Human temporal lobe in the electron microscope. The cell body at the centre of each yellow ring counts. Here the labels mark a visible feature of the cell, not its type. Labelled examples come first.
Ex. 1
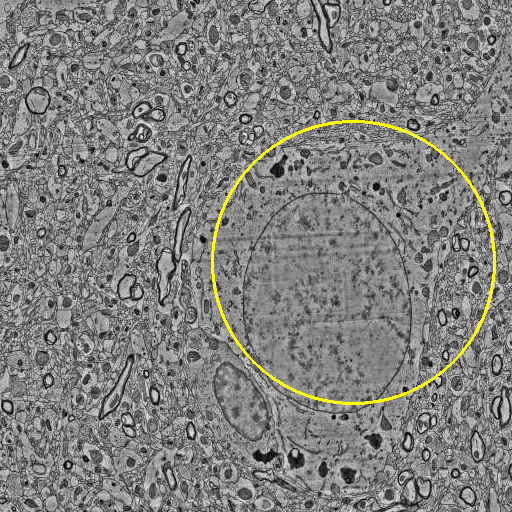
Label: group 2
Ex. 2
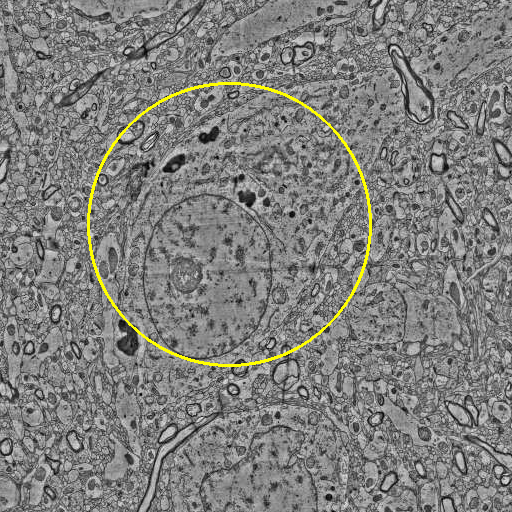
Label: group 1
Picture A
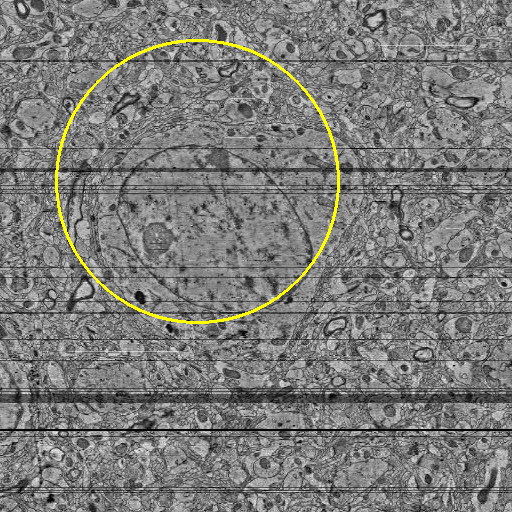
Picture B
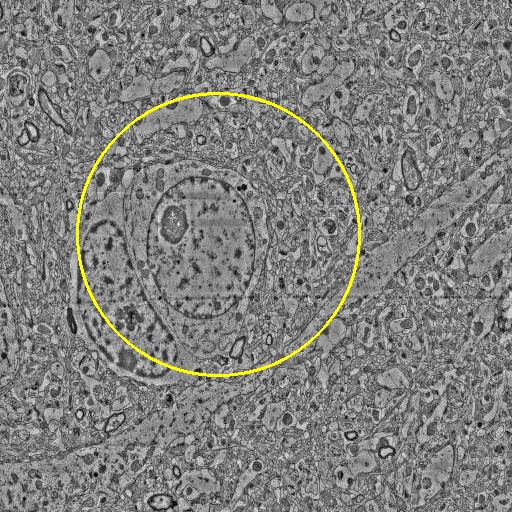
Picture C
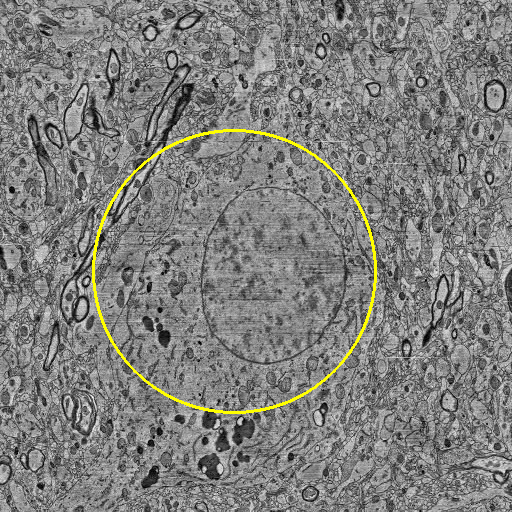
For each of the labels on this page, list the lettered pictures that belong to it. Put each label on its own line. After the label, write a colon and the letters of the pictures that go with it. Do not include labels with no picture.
group 2: C
group 1: A, B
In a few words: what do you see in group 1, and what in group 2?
In group 1: nucleolus seen. In group 2: no nucleolus seen.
